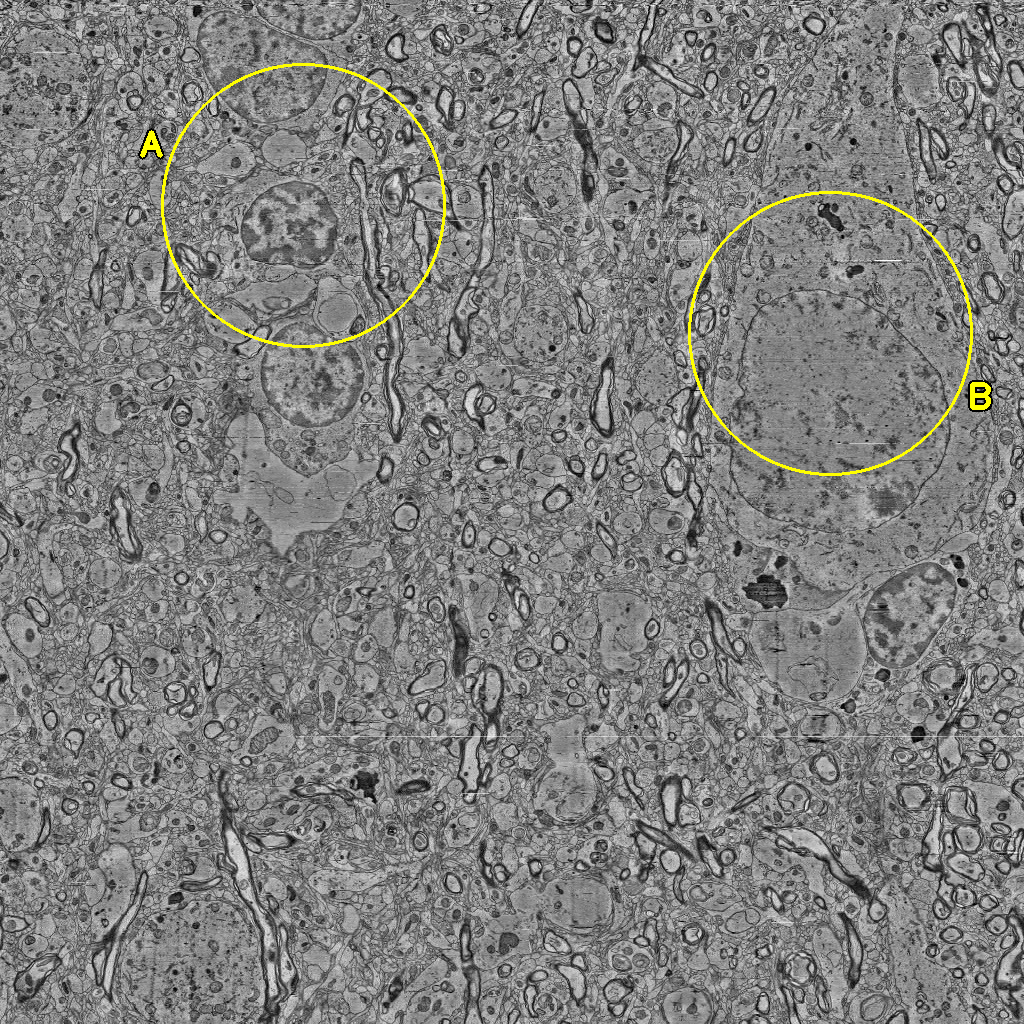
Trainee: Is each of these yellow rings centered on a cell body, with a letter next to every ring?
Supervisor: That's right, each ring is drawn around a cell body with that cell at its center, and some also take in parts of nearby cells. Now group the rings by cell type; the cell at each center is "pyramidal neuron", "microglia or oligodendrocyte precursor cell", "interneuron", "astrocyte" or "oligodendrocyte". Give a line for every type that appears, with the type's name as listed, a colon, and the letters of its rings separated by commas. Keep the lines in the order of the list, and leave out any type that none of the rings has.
pyramidal neuron: B
microglia or oligodendrocyte precursor cell: A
